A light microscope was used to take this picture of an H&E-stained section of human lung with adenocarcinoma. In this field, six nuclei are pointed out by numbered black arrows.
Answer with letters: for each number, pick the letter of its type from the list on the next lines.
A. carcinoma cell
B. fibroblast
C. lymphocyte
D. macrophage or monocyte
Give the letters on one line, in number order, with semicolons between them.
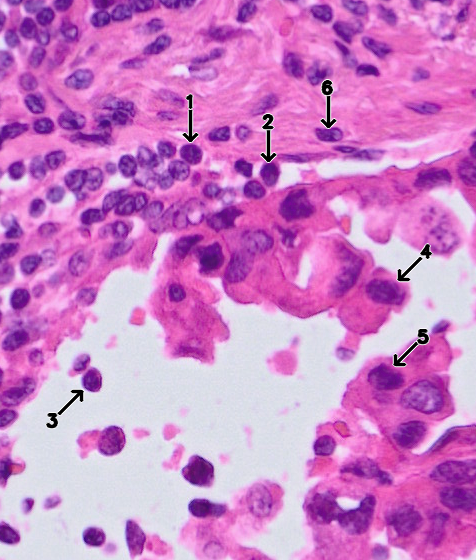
C; C; C; A; A; C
